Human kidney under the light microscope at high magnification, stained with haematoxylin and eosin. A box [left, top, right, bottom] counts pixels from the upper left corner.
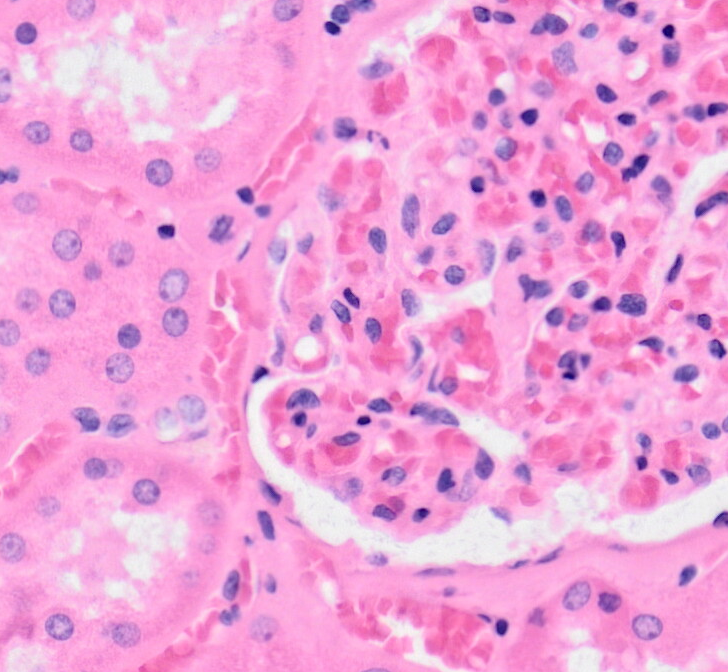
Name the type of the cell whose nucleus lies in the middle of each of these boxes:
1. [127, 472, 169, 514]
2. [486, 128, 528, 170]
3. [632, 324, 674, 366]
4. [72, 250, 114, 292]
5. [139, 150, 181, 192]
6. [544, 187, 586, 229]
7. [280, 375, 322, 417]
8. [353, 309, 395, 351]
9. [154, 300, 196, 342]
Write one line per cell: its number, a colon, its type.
1: proximal tubule cell
2: endothelial cell
3: endothelial cell
4: proximal tubule cell
5: proximal tubule cell
6: endothelial cell
7: endothelial cell
8: endothelial cell
9: proximal tubule cell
